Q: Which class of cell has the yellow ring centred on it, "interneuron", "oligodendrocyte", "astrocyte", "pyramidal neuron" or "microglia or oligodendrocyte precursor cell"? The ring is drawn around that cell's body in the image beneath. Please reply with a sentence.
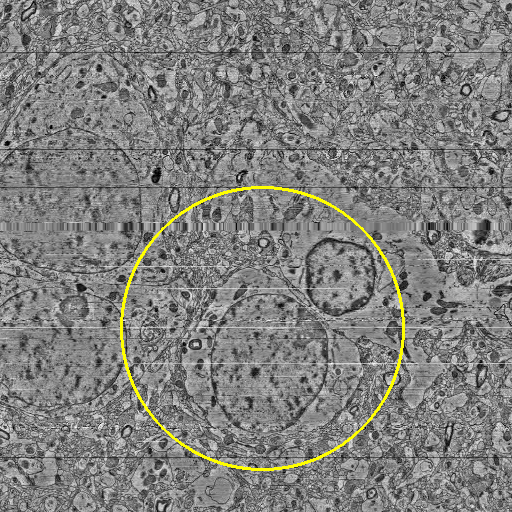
It is centred on an astrocyte.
